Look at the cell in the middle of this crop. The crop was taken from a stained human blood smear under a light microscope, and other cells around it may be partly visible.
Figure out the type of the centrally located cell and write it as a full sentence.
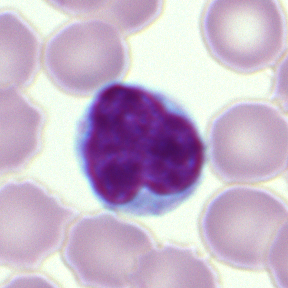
In short, the cell at the center is a lymphocyte.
